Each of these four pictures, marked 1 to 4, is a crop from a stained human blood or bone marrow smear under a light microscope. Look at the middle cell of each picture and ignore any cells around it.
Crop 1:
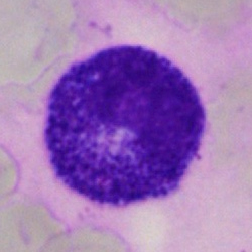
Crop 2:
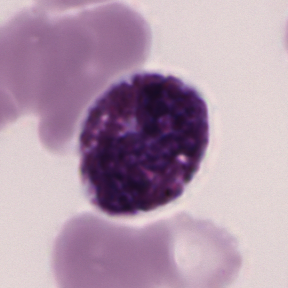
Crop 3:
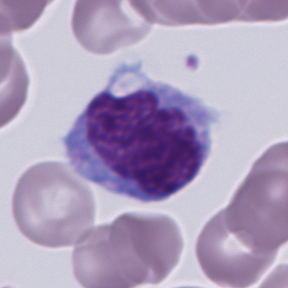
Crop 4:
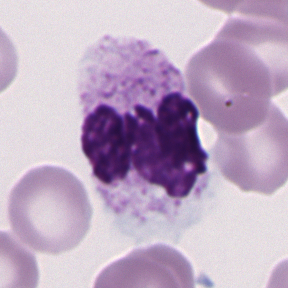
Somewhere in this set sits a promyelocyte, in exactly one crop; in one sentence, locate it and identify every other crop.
There is a promyelocyte in crop 1, while crop 2 is an eosinophil, crop 3 is a monocyte and crop 4 is a segmented neutrophil.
